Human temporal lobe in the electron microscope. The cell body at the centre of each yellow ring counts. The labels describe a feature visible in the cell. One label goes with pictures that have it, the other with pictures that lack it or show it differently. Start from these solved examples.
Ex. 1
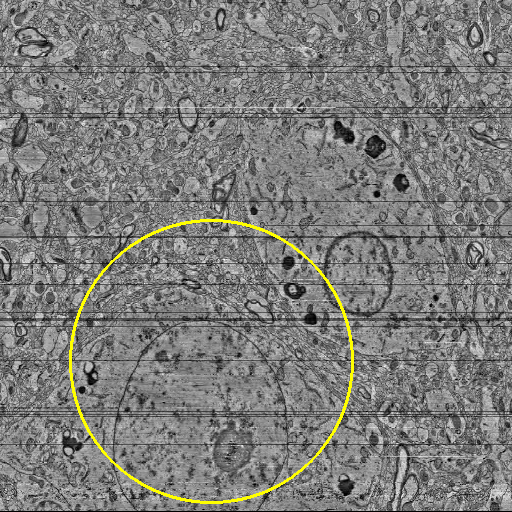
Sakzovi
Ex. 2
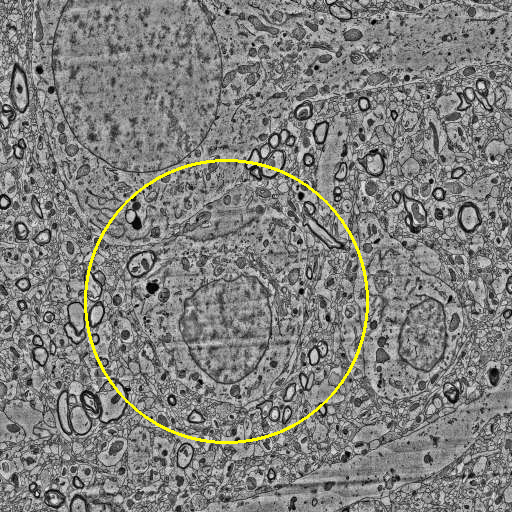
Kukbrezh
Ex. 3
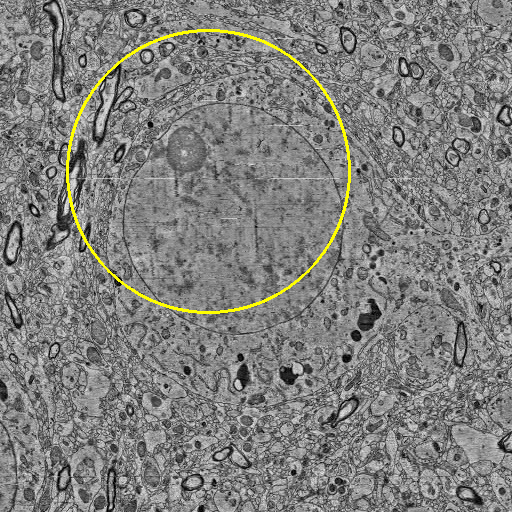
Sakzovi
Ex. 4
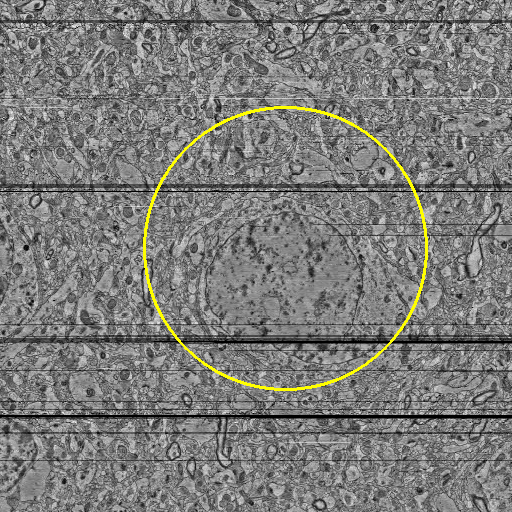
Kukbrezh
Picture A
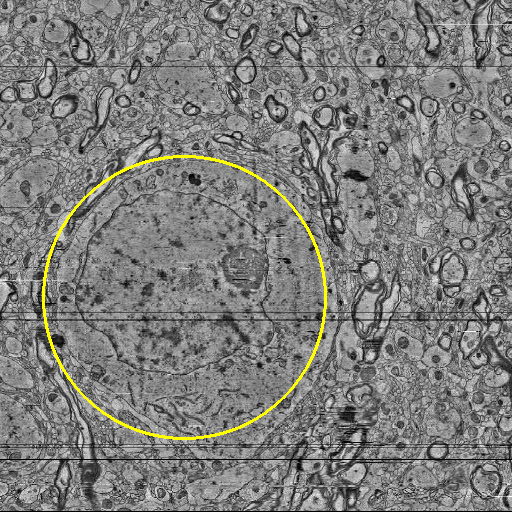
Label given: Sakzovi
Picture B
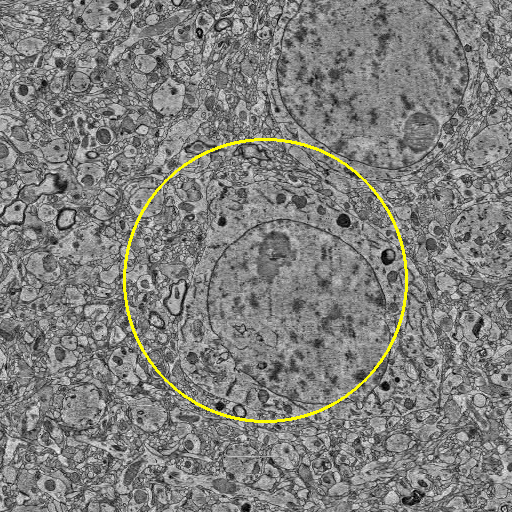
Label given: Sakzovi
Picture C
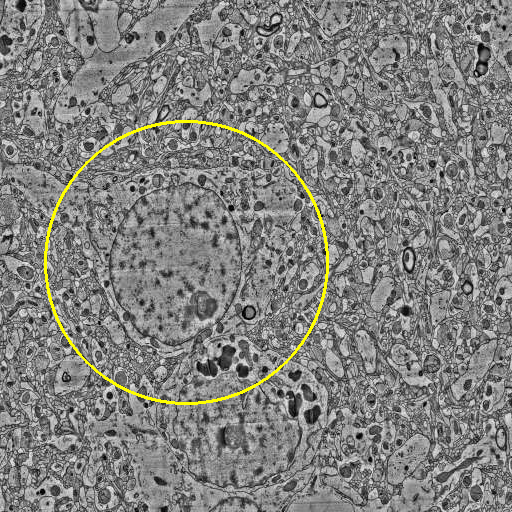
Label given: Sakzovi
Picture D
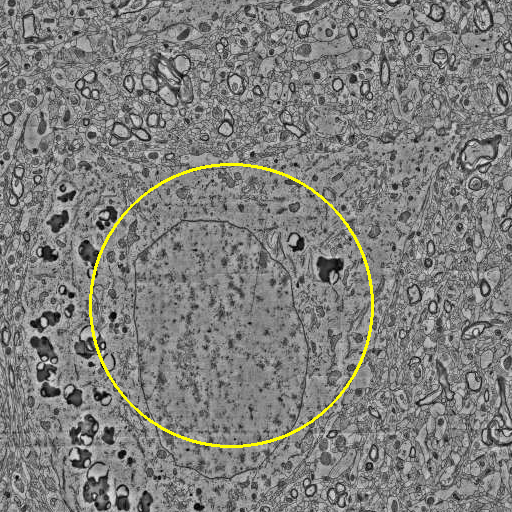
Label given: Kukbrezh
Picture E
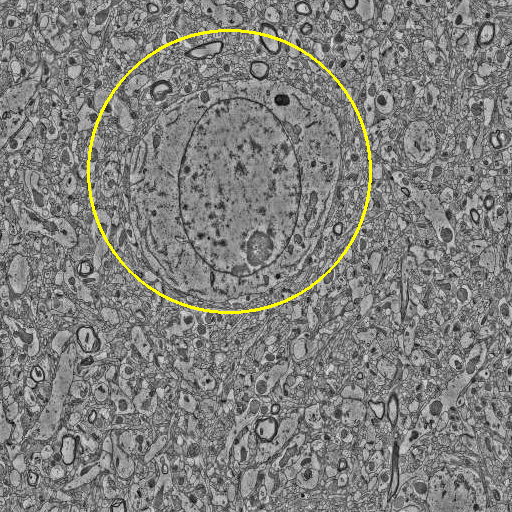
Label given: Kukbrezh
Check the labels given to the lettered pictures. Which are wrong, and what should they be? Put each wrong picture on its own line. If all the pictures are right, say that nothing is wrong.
E should be Sakzovi, not Kukbrezh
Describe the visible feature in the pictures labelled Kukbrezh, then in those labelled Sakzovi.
In Kukbrezh: no nucleolus seen. In Sakzovi: nucleolus seen.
